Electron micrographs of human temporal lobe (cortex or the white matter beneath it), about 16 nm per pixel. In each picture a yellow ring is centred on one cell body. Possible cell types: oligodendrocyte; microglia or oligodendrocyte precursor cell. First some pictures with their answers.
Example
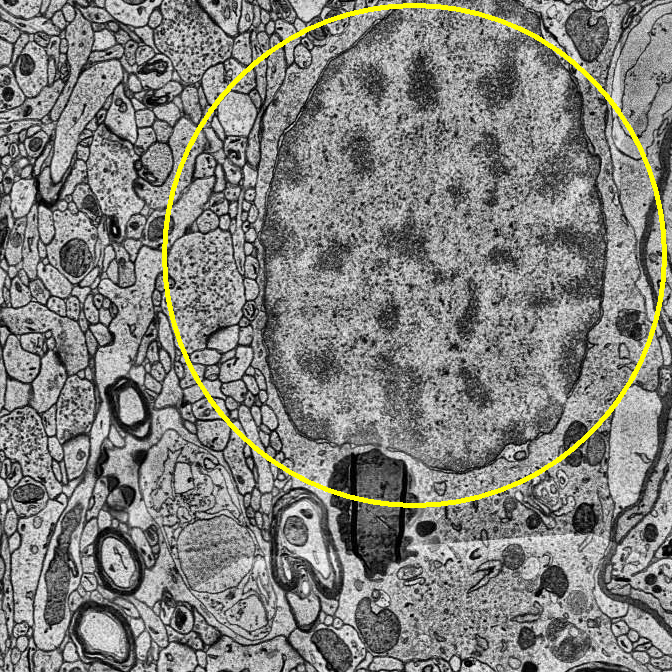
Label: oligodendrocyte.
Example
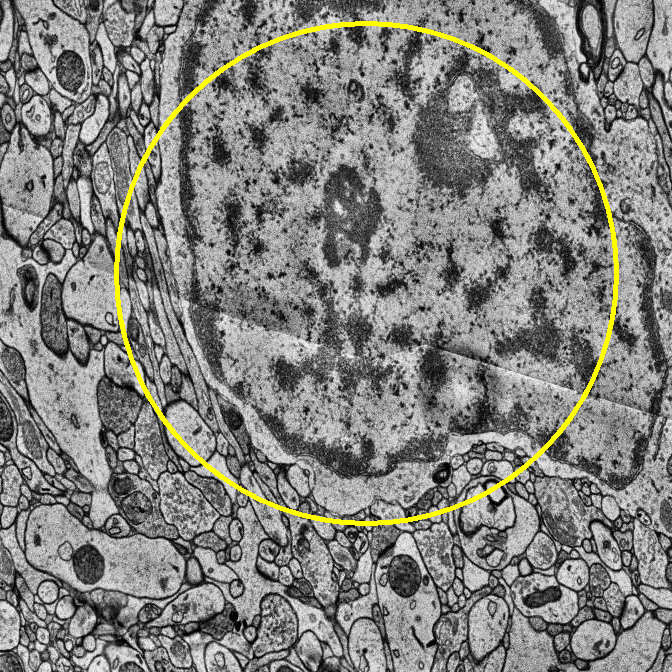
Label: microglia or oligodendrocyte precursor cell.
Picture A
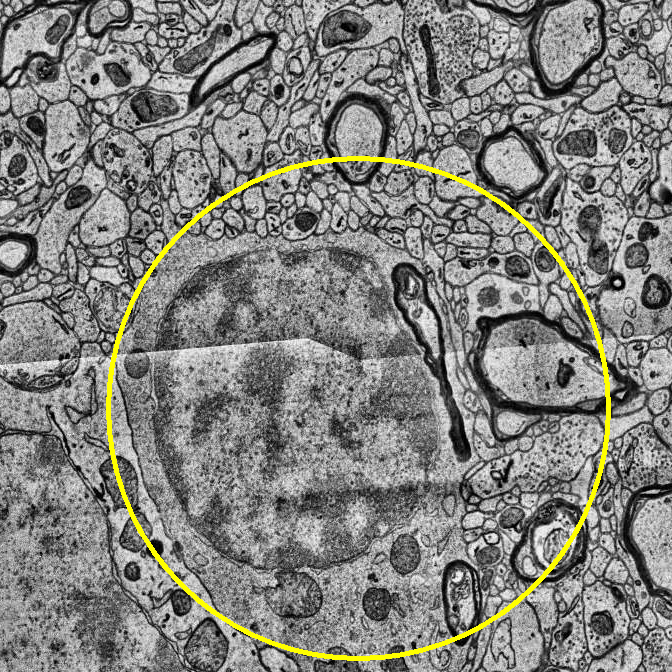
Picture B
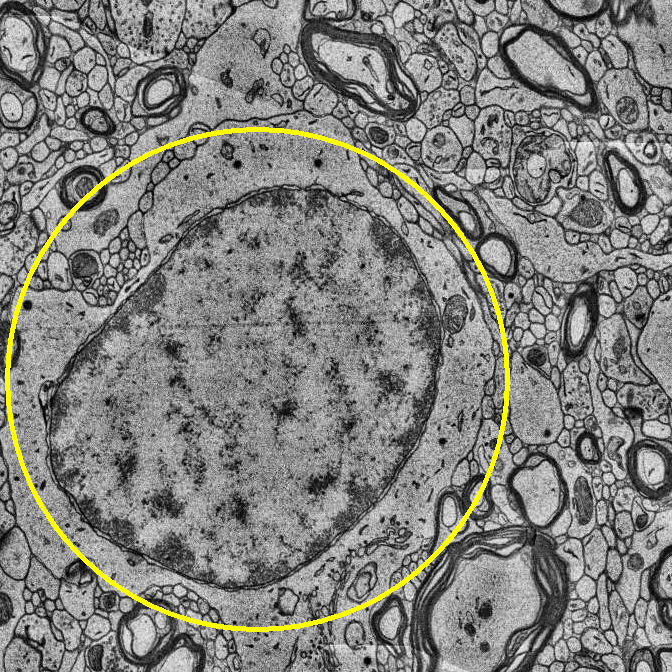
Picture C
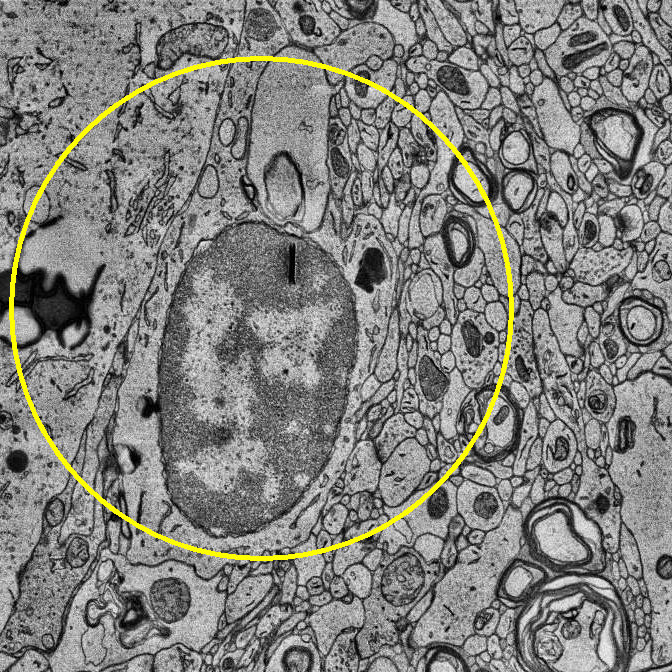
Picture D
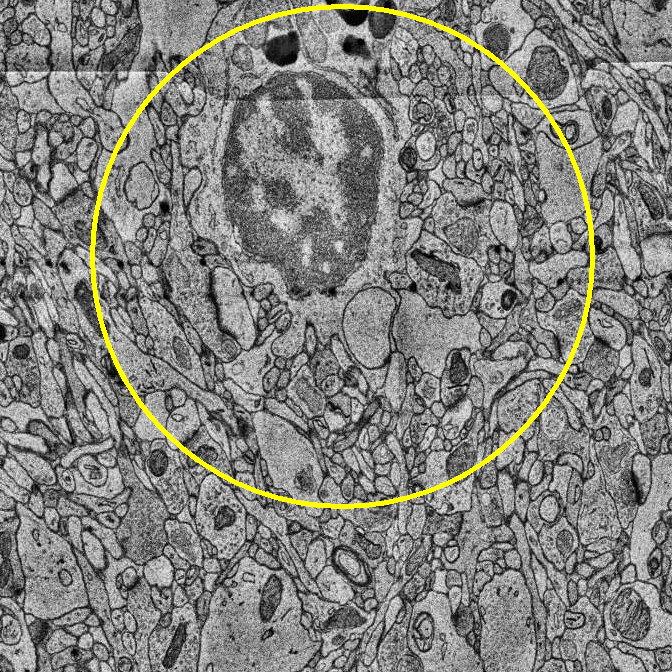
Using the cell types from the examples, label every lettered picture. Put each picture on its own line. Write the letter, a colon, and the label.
A: oligodendrocyte.
B: microglia or oligodendrocyte precursor cell.
C: microglia or oligodendrocyte precursor cell.
D: microglia or oligodendrocyte precursor cell.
